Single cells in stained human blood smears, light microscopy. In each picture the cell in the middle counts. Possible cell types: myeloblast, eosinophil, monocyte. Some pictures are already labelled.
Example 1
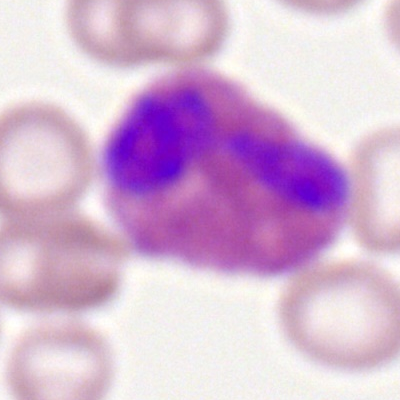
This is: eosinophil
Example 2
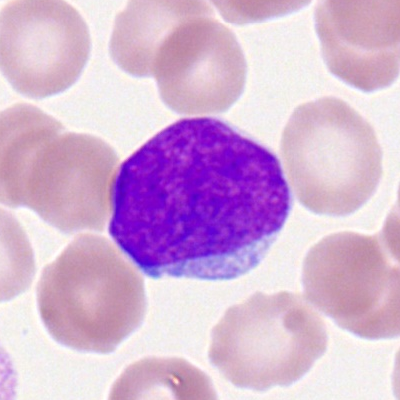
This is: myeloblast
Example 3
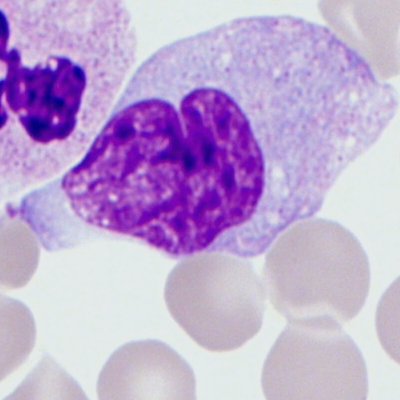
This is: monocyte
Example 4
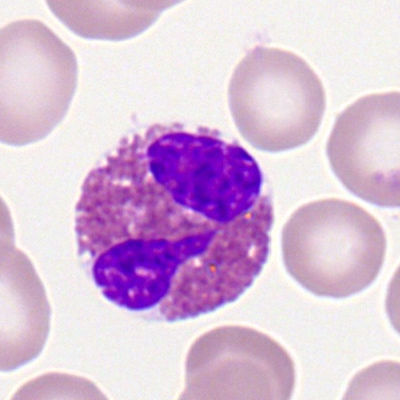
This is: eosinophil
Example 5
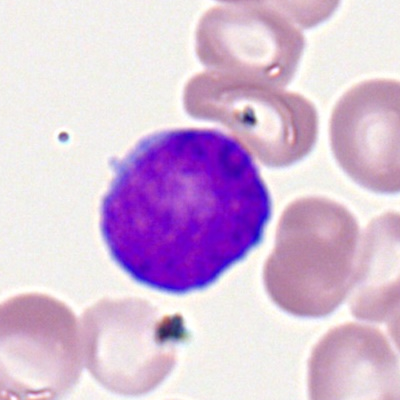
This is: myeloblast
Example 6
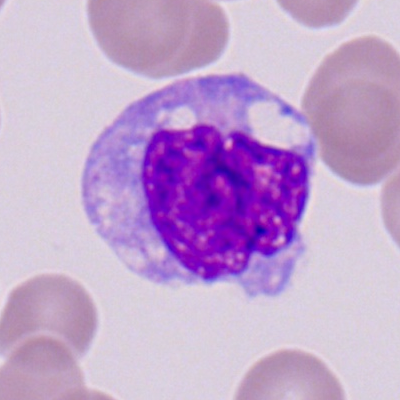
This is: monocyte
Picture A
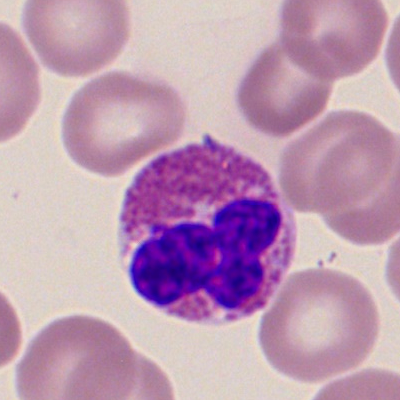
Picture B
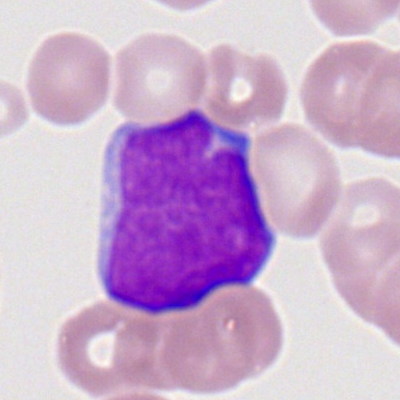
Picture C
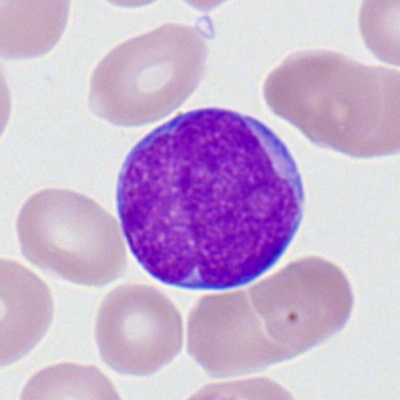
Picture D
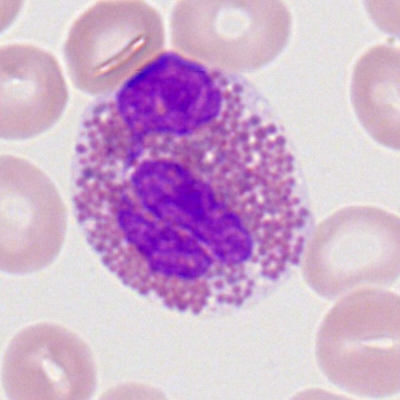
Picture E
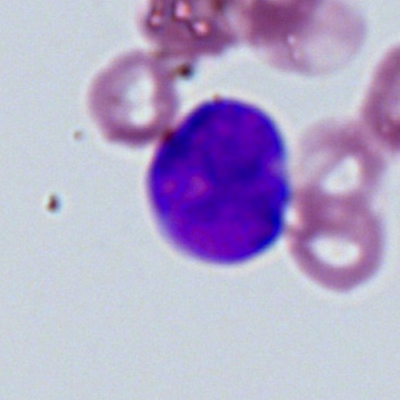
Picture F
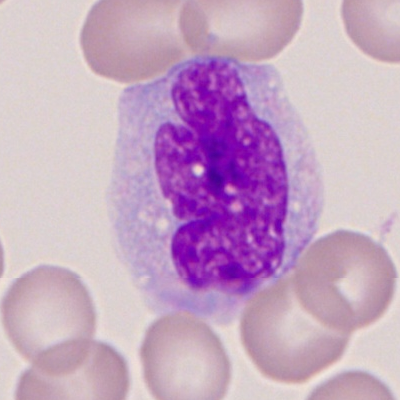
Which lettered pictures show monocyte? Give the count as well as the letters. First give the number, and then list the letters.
1, namely F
